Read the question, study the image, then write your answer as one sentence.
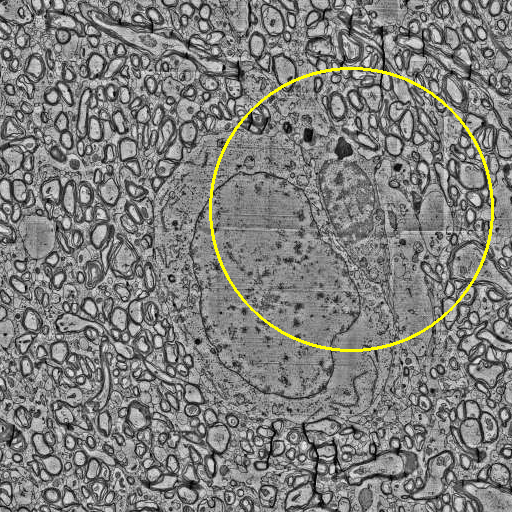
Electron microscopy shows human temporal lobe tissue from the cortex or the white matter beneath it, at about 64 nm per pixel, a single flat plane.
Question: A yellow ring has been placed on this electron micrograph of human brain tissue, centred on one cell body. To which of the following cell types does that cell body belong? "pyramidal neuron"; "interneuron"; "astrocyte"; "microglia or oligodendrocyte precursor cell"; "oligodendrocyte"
That cell body belongs to an oligodendrocyte.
